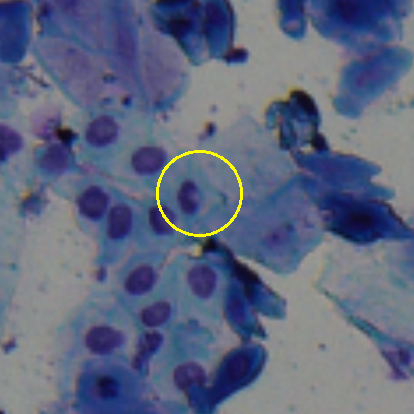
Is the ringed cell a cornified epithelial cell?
No, it is a nucleated epithelial cell.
